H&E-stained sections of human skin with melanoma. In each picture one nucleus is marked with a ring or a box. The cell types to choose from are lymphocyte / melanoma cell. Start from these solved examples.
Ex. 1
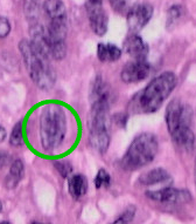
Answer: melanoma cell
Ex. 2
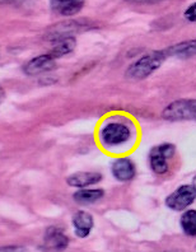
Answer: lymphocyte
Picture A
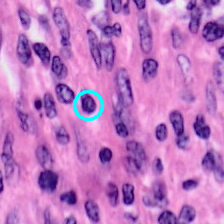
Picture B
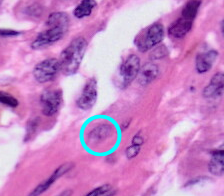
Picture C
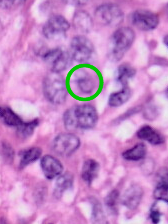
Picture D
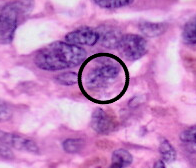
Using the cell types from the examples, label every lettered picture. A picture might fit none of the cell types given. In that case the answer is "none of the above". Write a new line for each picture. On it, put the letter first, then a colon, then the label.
A: lymphocyte
B: melanoma cell
C: melanoma cell
D: melanoma cell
